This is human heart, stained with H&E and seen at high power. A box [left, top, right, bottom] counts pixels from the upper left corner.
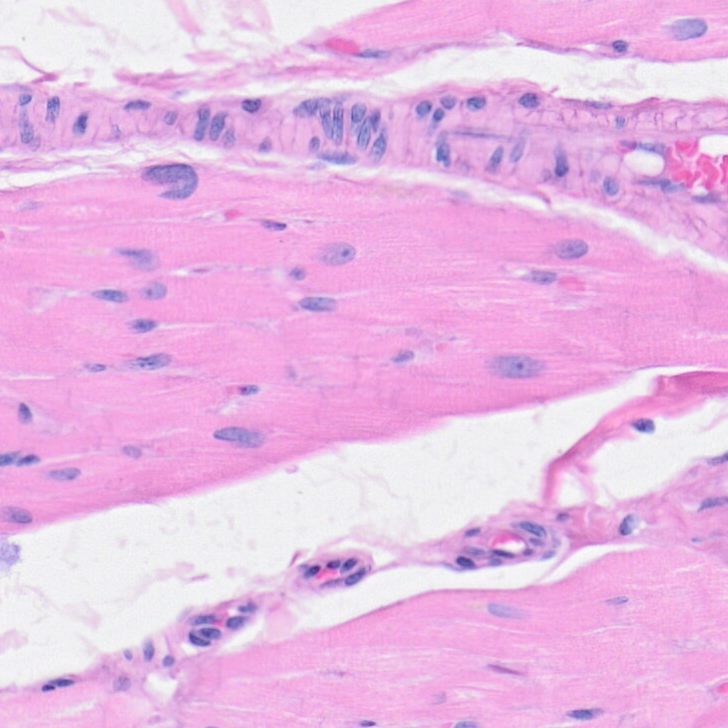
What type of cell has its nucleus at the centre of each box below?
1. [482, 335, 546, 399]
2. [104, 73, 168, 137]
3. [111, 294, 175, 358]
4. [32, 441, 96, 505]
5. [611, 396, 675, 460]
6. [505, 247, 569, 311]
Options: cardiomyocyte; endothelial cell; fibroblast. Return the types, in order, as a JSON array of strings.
["cardiomyocyte", "fibroblast", "fibroblast", "cardiomyocyte", "fibroblast", "endothelial cell"]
